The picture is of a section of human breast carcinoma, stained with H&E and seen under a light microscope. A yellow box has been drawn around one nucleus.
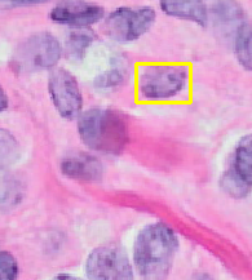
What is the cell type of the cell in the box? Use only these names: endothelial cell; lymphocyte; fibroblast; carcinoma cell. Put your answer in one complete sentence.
In this tissue sample, the cell in the box is a carcinoma cell.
